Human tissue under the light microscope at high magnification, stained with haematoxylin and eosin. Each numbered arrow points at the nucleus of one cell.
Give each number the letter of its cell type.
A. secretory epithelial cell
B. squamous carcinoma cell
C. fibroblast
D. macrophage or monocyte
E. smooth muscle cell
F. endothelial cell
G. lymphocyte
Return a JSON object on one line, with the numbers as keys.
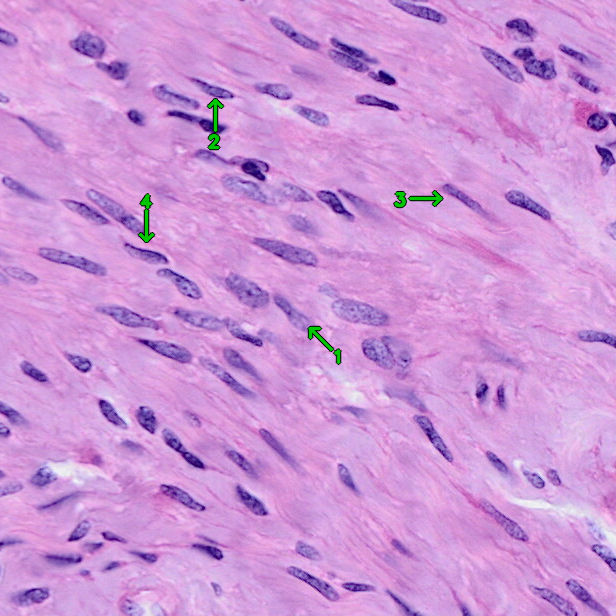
{"1": "C", "2": "C", "3": "E", "4": "C"}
